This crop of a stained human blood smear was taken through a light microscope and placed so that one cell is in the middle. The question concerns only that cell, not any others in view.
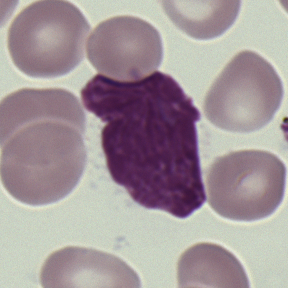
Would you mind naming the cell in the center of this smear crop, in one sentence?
This particular crop is centered on a smudge cell.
